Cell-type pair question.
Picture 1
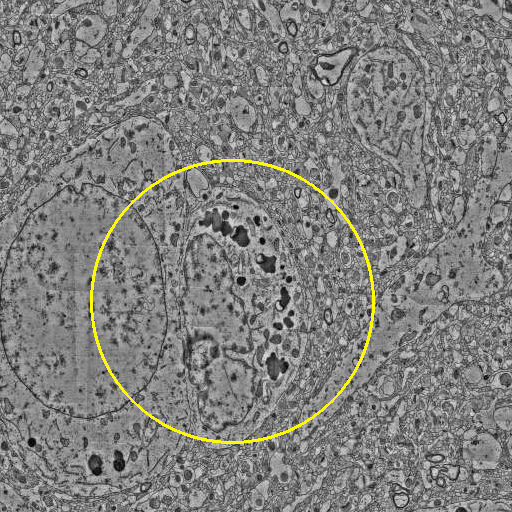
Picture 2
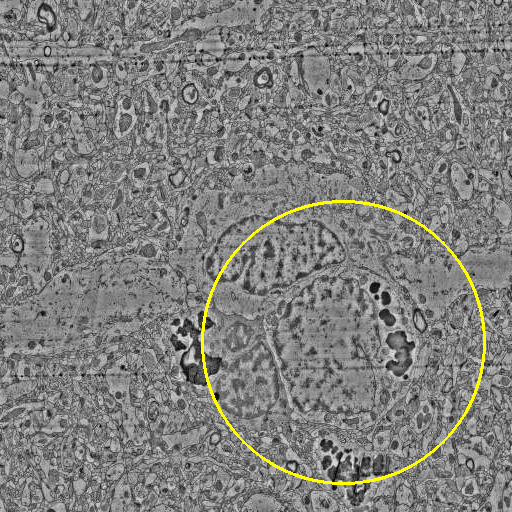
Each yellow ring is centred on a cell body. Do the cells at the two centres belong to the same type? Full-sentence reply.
Yes, the two cells belong to the same type.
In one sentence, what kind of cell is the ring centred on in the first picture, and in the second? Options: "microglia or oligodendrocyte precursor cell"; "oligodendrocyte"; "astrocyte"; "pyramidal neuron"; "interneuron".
Each of the two rings surrounds an interneuron.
